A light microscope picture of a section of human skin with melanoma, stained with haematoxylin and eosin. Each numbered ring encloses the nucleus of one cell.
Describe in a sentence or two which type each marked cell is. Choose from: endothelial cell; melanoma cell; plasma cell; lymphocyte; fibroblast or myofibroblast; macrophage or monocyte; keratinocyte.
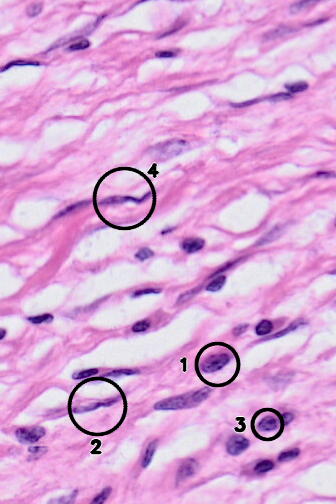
Cells 1 and 3 are plasma cells. Cells 2 and 4 are fibroblasts or myofibroblasts.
